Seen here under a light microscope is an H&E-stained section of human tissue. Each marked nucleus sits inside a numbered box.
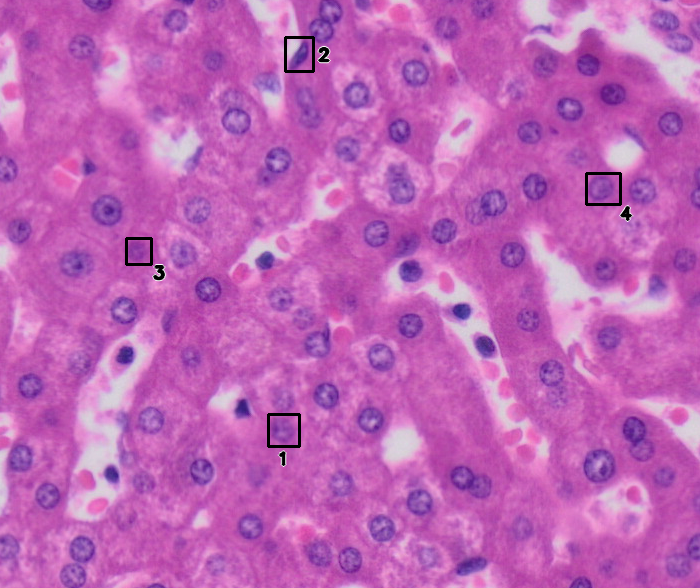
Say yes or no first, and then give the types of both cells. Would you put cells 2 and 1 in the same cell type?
No, cell 2 is a fibroblast or stellate cell and cell 1 is a hepatocyte.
